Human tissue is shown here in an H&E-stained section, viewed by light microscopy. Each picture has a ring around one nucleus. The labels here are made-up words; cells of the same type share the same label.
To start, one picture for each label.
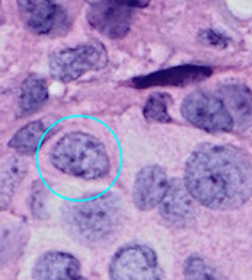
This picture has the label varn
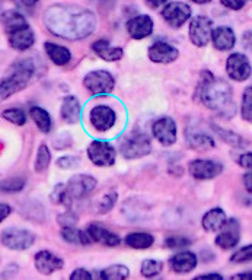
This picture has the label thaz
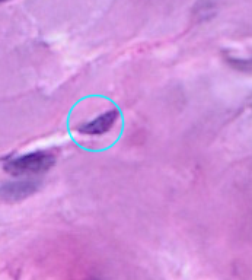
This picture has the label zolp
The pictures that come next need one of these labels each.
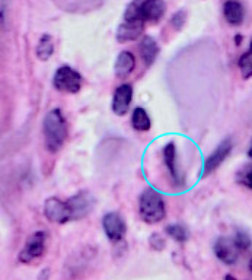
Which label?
thaz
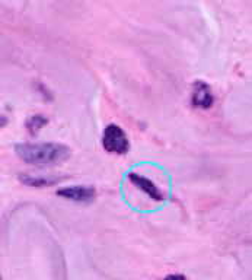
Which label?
zolp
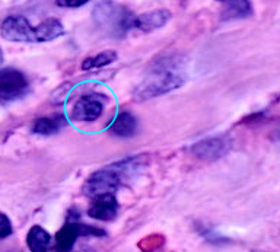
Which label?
thaz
